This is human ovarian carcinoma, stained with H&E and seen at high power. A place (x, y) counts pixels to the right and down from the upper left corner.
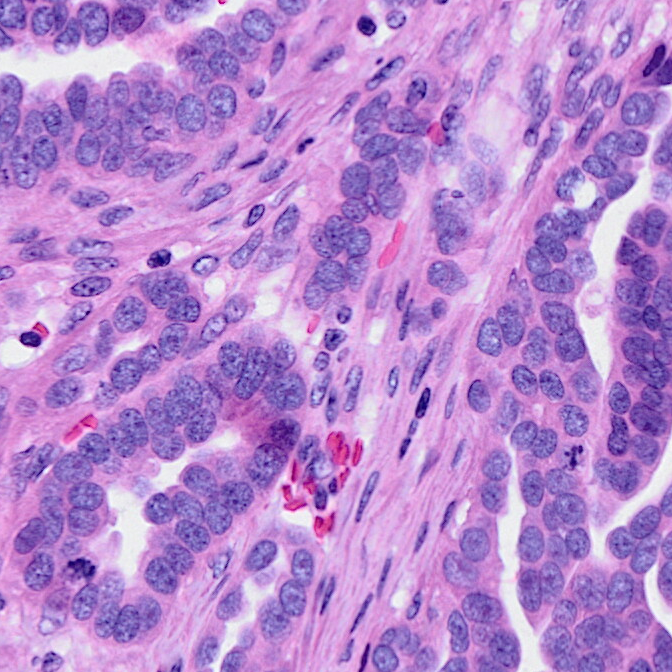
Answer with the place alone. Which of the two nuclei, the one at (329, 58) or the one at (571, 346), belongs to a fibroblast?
(329, 58)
